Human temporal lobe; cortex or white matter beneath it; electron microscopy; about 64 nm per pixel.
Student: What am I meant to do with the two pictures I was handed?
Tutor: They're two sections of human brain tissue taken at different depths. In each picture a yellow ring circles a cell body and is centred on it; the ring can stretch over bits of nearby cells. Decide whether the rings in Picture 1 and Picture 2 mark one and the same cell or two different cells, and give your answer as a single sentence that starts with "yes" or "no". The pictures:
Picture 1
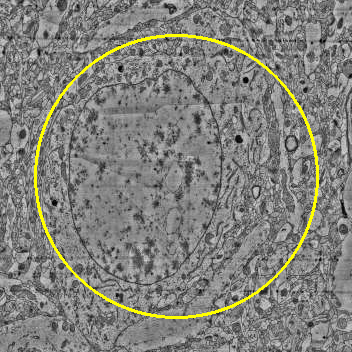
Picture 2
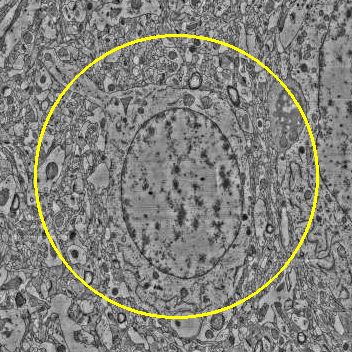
No, the rings surround different cells rather than one cell.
